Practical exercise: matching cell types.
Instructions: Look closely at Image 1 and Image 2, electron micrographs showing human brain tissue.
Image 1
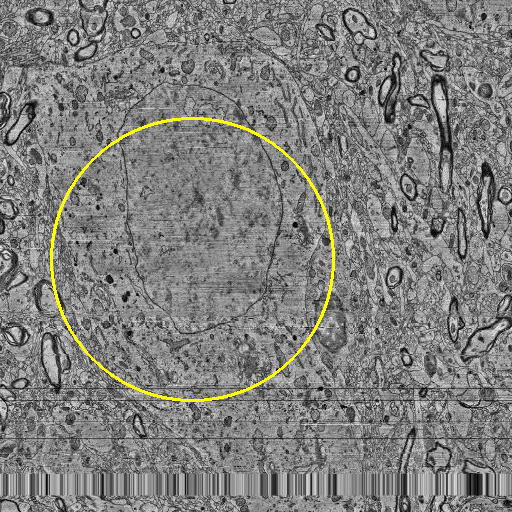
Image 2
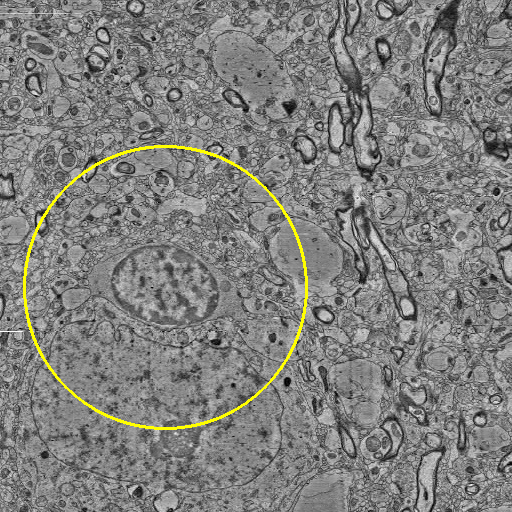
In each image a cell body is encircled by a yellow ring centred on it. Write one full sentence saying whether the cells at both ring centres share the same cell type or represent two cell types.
Across Image 1 and Image 2, the cells at the ring centres represent two cell types.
